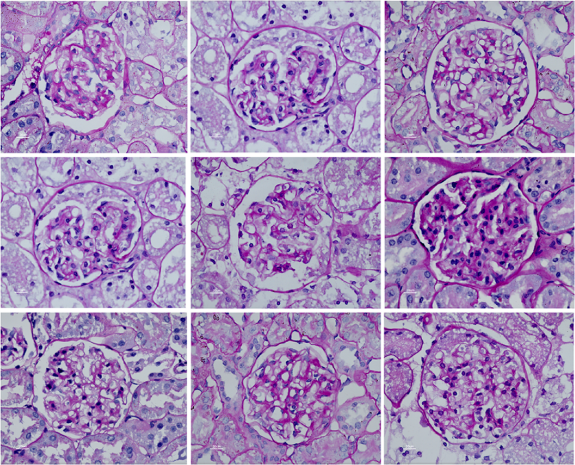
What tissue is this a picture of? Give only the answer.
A: kidney tissue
